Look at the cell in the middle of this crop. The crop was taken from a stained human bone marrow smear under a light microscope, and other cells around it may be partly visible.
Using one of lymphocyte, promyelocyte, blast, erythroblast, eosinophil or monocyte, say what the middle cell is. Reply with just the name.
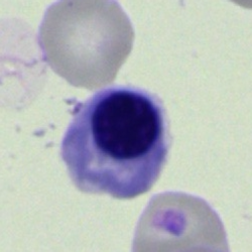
erythroblast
